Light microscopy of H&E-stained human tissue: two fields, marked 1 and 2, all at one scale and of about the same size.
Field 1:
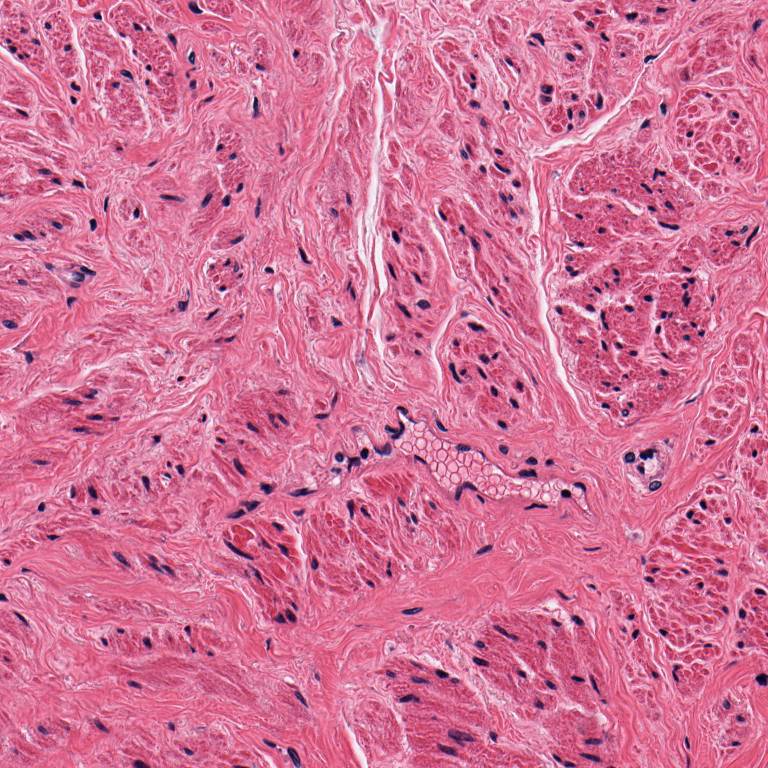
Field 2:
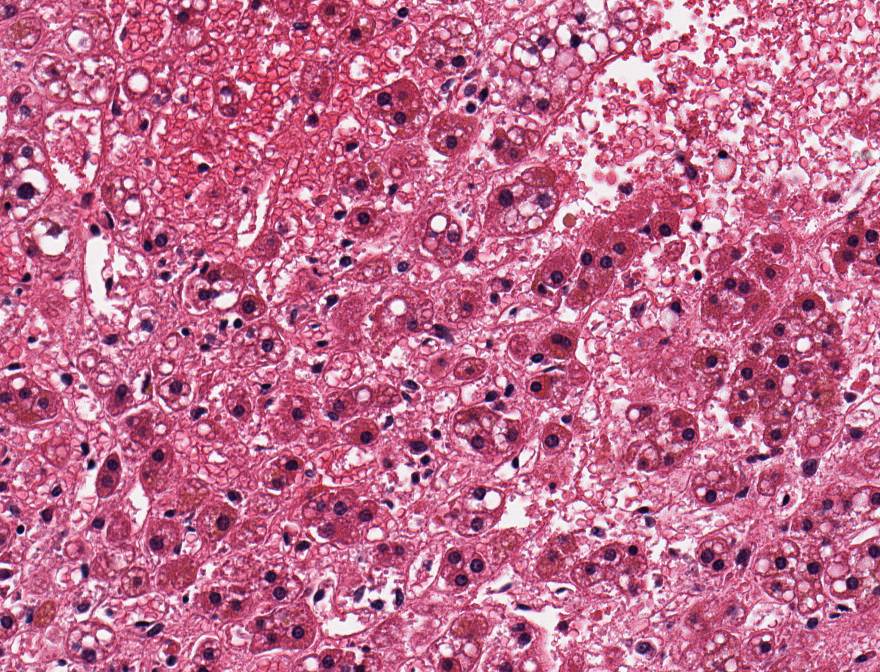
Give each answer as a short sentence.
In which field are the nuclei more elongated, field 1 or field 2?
Longer, more slender nuclei lie in field 1.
